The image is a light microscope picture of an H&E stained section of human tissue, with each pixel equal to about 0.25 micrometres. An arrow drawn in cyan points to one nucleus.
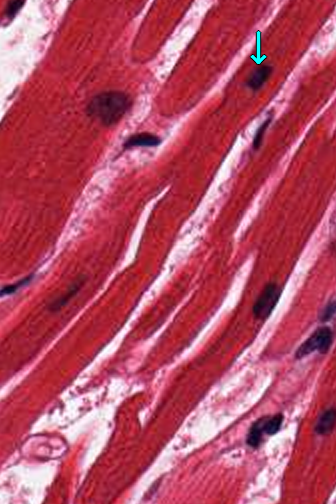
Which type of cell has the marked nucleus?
cardiomyocyte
